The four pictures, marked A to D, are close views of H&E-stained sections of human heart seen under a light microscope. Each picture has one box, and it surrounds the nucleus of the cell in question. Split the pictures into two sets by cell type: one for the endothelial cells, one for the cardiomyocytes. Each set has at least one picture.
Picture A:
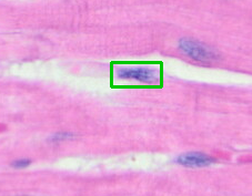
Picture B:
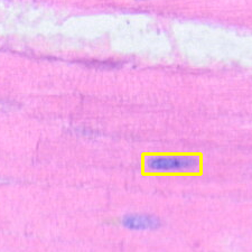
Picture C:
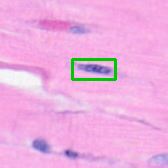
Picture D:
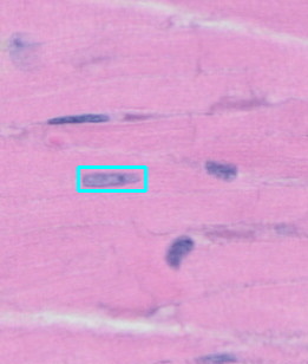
A: endothelial cell
B: cardiomyocyte
C: endothelial cell
D: cardiomyocyte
